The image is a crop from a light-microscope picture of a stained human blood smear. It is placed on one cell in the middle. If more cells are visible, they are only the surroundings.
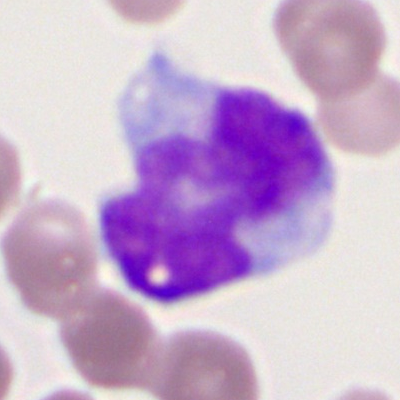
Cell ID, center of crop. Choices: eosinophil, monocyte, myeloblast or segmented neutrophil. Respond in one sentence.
The centrally placed cell is classified as a monocyte.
